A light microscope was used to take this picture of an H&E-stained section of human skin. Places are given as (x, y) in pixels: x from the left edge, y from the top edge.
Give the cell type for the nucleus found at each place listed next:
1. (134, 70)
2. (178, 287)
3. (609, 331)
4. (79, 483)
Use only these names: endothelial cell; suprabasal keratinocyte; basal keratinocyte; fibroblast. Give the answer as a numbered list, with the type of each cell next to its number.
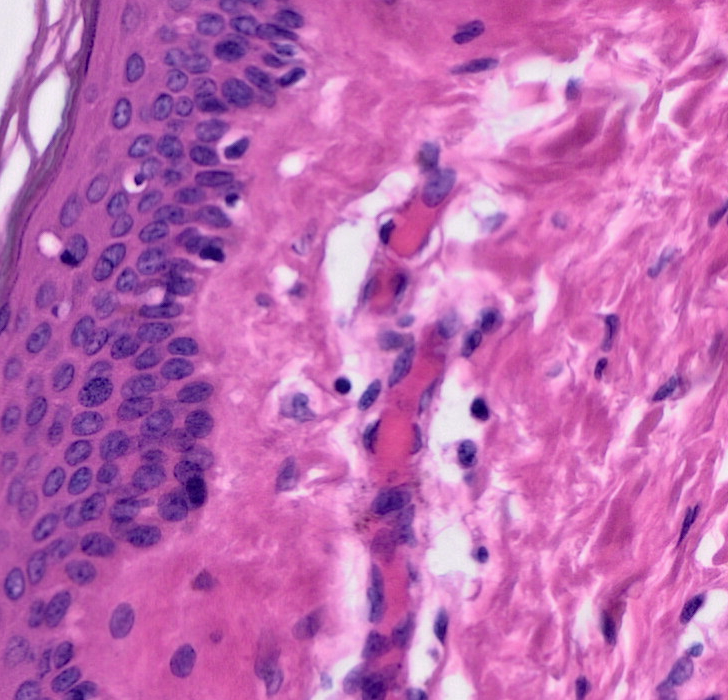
1. suprabasal keratinocyte
2. basal keratinocyte
3. fibroblast
4. suprabasal keratinocyte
